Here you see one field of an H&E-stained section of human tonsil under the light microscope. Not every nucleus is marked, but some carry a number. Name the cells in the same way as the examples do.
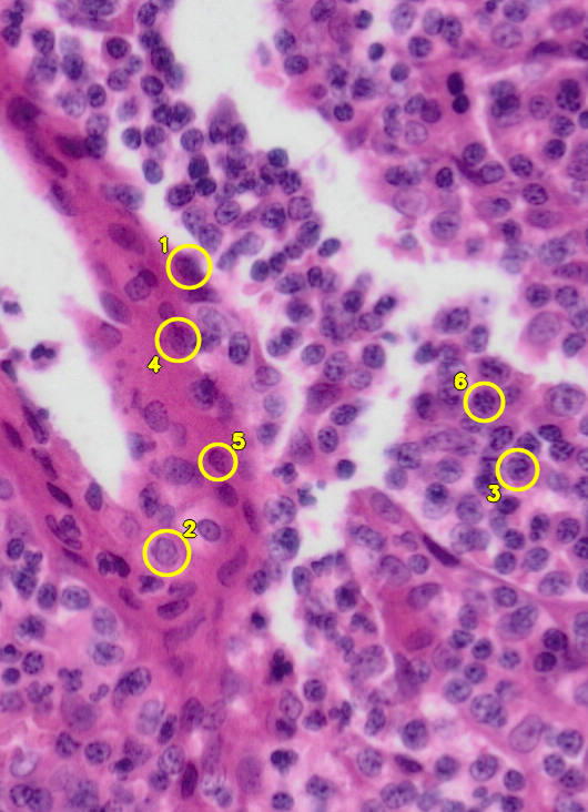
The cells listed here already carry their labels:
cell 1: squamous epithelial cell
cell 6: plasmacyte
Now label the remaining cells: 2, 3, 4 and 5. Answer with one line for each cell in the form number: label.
2: squamous epithelial cell
3: plasmacyte
4: squamous epithelial cell
5: squamous epithelial cell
